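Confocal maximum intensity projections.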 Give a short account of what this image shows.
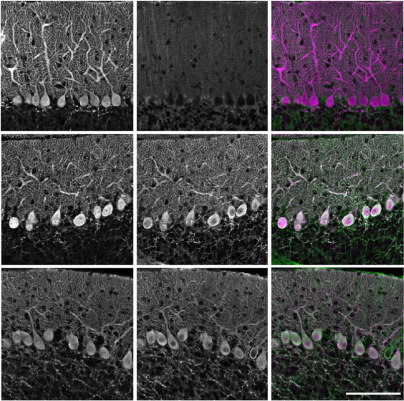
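These are rows of Purkinje cells in the cerebellar cortex, their rounded cell bodies lined up side by side in a single layer with thick dendrites climbing into the molecular layer above. In the top row only the magenta label fills the cells and the green channel is nearly blank, whereas in the two lower rows the cell bodies and dendrites are bright in both channels.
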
